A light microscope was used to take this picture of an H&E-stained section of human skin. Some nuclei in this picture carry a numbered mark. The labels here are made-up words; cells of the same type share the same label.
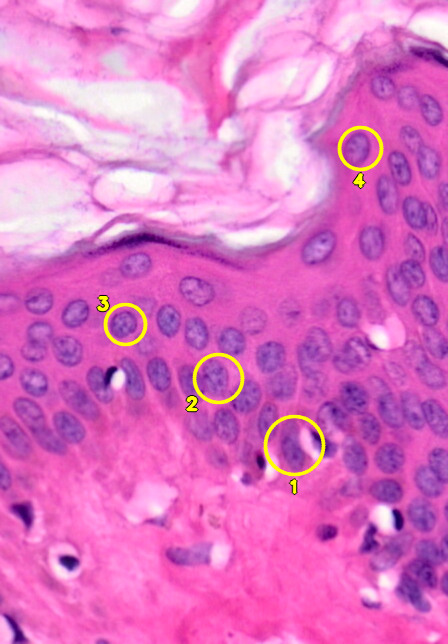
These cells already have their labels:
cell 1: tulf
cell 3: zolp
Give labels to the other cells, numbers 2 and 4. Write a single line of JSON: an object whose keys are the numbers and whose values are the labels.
{"2": "zolp", "4": "zolp"}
